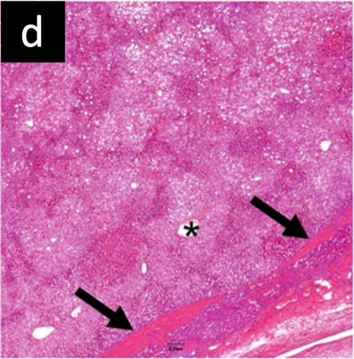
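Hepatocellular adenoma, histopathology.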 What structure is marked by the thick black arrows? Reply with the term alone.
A: Well-defined border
